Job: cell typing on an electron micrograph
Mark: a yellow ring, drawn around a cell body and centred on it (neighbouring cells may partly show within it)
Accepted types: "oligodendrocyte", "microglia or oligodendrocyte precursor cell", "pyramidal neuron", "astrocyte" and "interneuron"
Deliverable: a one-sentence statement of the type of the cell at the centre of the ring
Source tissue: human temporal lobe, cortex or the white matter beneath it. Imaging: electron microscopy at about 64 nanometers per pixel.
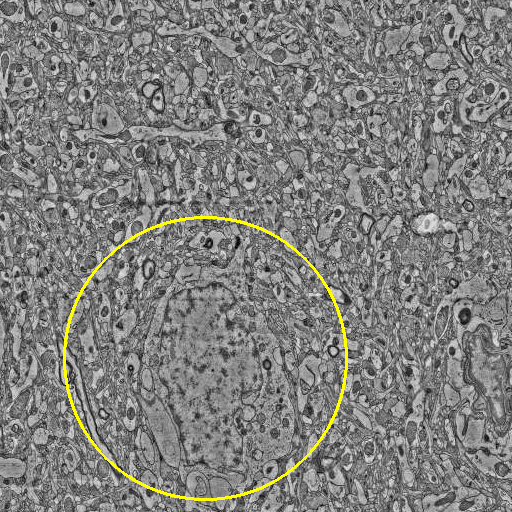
The centred cell body is that of an interneuron.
